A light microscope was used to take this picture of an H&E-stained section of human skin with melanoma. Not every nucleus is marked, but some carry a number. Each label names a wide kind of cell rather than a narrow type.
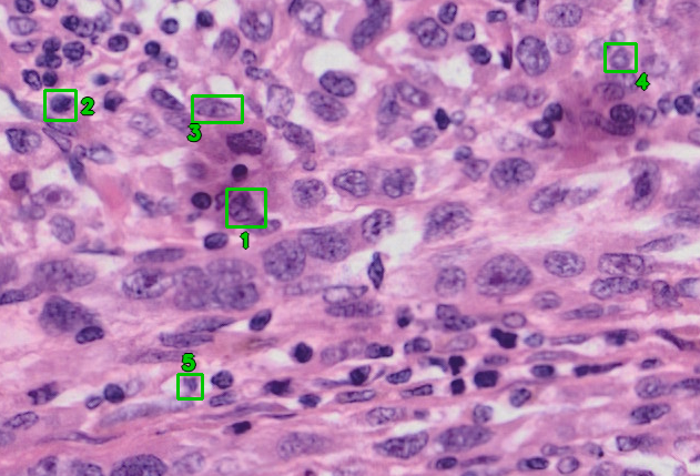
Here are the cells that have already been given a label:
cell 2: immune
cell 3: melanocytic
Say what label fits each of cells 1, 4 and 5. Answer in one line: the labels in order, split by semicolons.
melanocytic; melanocytic; immune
